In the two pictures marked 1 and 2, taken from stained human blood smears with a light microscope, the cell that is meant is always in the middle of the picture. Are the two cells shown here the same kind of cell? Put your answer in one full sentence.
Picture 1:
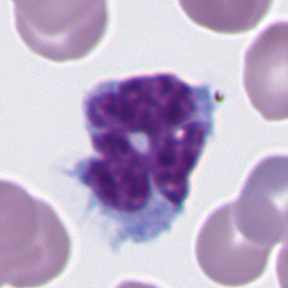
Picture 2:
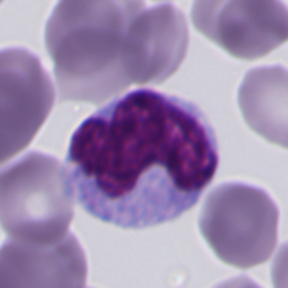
Yes, the two pictures both show monocytes.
